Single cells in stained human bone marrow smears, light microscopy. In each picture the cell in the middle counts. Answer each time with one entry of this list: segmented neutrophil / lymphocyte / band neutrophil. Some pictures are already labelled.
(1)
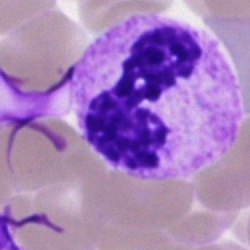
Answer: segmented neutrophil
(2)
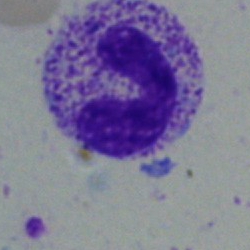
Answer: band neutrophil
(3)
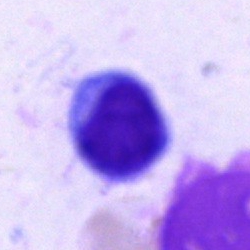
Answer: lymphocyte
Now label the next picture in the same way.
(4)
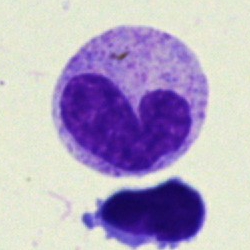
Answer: band neutrophil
